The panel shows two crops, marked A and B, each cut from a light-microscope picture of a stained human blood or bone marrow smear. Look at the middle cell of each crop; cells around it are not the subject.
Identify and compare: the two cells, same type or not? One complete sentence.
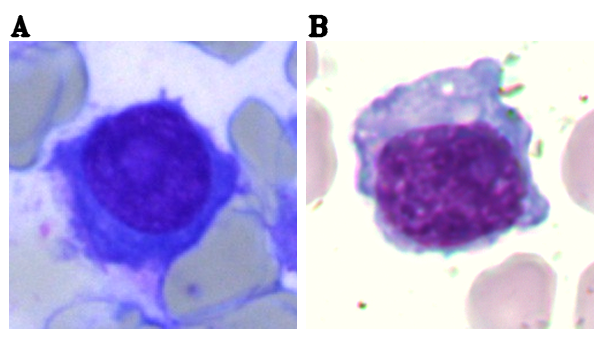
Yes, in both crops, plasma cells are the cells at the middle.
